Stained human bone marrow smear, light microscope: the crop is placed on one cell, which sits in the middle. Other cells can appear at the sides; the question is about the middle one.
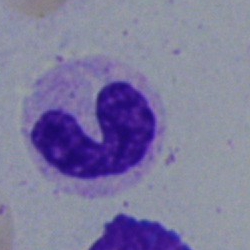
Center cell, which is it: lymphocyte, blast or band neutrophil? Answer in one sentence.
This particular crop is centered on a band neutrophil.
